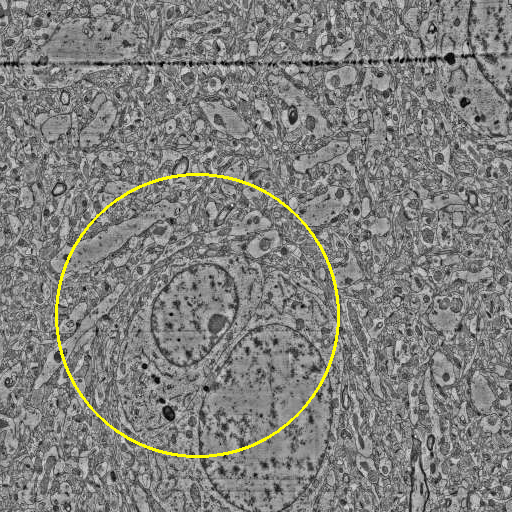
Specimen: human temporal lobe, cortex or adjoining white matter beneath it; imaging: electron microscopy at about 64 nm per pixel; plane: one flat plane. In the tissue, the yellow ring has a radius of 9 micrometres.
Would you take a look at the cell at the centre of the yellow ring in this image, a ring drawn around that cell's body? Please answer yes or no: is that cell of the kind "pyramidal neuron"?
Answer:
yes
